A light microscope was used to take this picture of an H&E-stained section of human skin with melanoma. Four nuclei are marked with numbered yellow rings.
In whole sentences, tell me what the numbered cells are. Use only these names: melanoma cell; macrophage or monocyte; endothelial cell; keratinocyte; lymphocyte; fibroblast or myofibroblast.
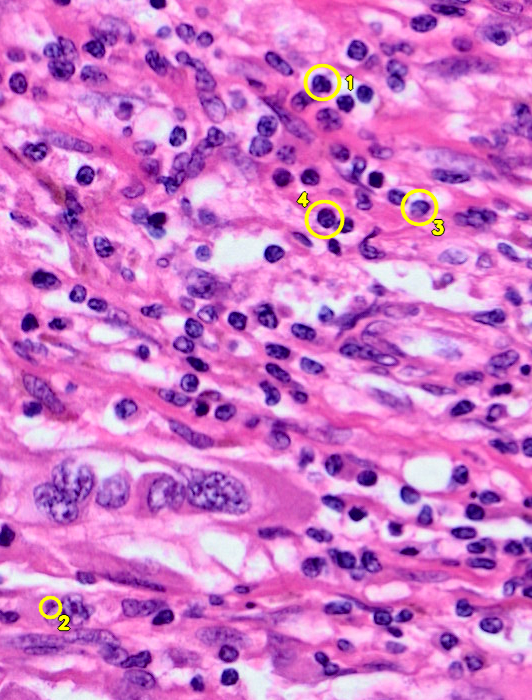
Cell 1 is a lymphocyte, cell 2 is a melanoma cell, cell 3 is a lymphocyte and cell 4 is a lymphocyte.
